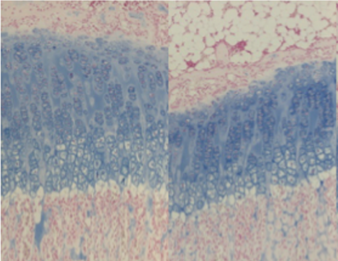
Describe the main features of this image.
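Within the band the chondrocytes lie in vertical columns, small and flattened near the top and becoming larger, rounder and paler toward the bottom. Above the band lies pale, bubbly tissue with pink strands, and below it the pink-stained tissue of the bone side.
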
